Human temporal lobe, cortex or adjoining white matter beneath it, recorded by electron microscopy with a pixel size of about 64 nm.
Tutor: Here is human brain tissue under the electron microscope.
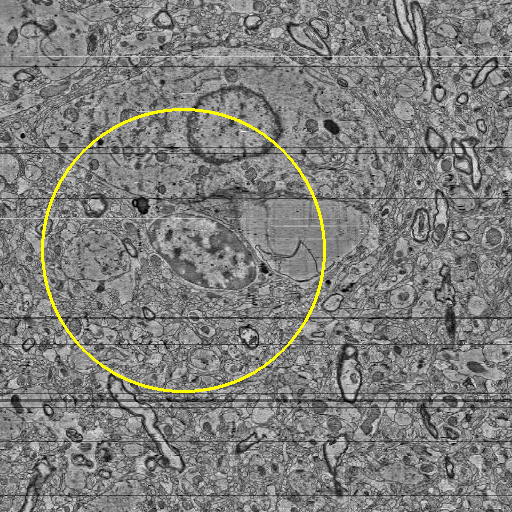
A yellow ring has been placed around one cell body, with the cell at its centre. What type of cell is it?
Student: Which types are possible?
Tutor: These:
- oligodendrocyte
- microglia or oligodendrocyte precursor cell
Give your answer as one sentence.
What the ring picks out here is a microglial cell or oligodendrocyte precursor cell.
